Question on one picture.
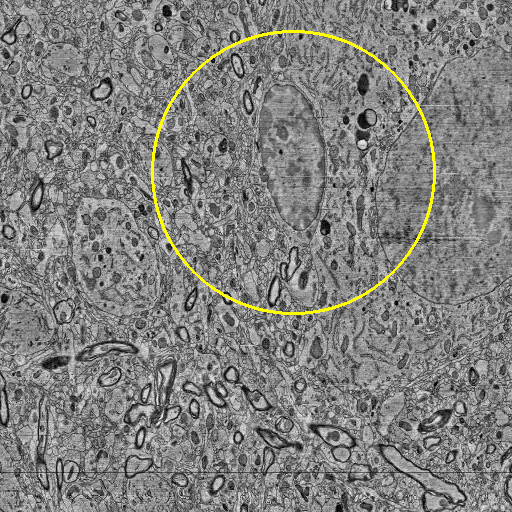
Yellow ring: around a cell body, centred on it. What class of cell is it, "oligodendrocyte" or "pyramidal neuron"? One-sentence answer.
This is an oligodendrocyte, the cell the ring is centred on.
